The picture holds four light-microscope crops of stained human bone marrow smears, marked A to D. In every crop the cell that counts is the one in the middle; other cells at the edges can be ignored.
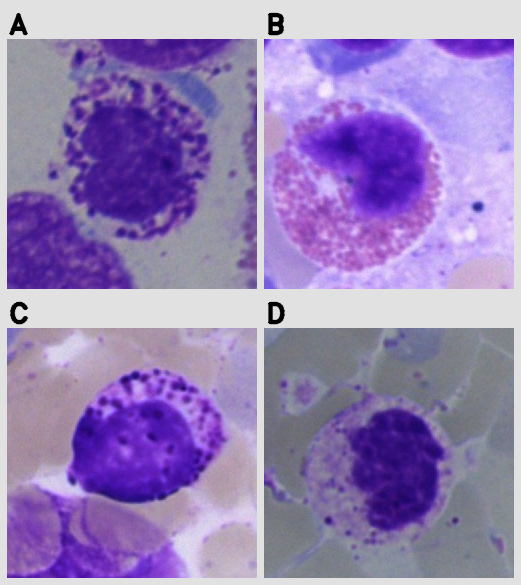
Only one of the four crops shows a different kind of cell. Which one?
B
